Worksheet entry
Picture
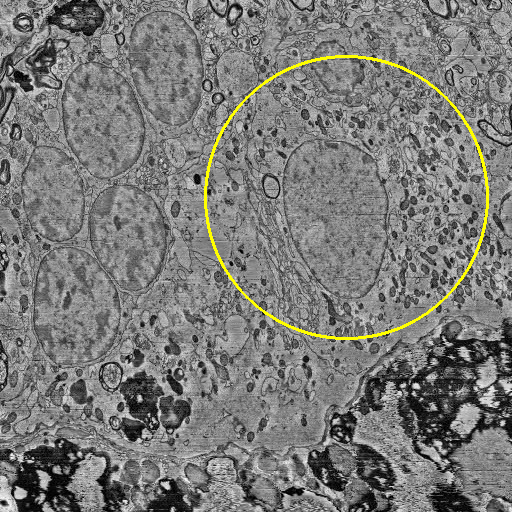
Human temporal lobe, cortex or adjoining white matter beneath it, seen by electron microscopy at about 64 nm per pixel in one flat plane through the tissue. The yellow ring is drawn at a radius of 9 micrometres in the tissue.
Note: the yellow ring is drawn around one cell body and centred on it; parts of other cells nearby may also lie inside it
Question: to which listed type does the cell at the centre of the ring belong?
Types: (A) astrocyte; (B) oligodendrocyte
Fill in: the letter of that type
A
